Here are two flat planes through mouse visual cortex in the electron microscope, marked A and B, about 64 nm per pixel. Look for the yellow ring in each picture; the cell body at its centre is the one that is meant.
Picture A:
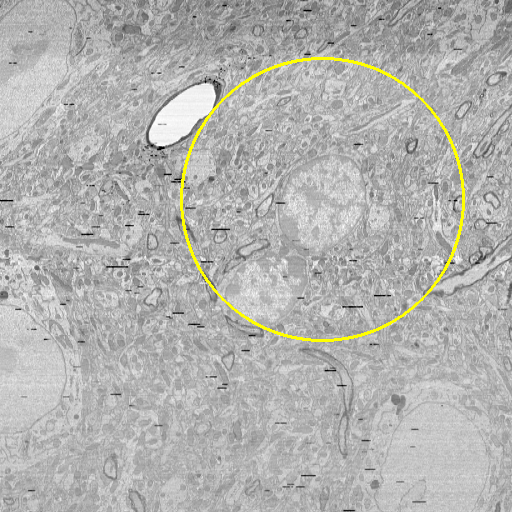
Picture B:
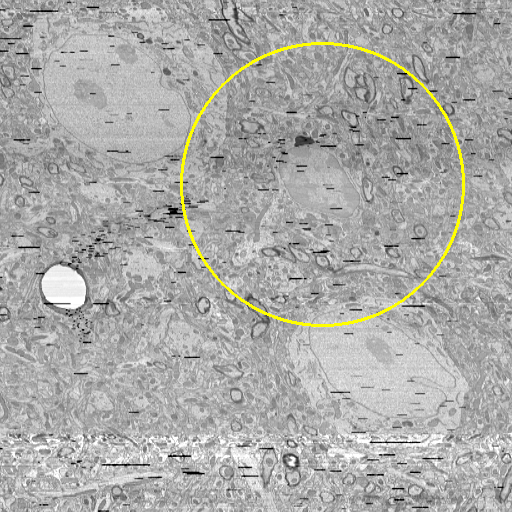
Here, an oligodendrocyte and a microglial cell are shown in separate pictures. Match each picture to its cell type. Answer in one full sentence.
In picture A the cell is an oligodendrocyte; in picture B, a microglial cell.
